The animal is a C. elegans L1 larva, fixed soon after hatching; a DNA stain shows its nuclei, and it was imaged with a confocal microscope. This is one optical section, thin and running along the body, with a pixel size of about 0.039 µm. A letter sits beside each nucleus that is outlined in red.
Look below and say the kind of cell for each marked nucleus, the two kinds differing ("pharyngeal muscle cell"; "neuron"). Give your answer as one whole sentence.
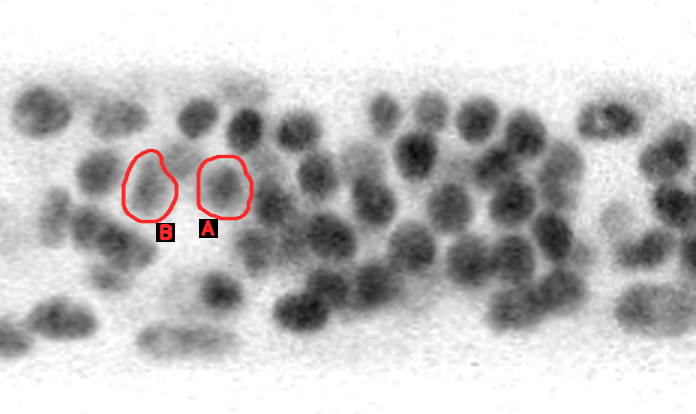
A is in a neuron and B is in a pharyngeal muscle cell.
